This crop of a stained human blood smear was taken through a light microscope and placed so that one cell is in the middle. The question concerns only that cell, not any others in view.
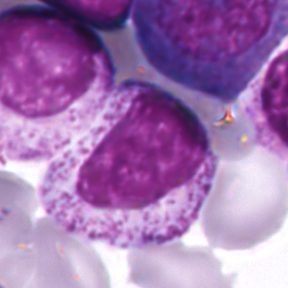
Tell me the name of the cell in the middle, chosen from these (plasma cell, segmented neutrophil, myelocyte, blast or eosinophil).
myelocyte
